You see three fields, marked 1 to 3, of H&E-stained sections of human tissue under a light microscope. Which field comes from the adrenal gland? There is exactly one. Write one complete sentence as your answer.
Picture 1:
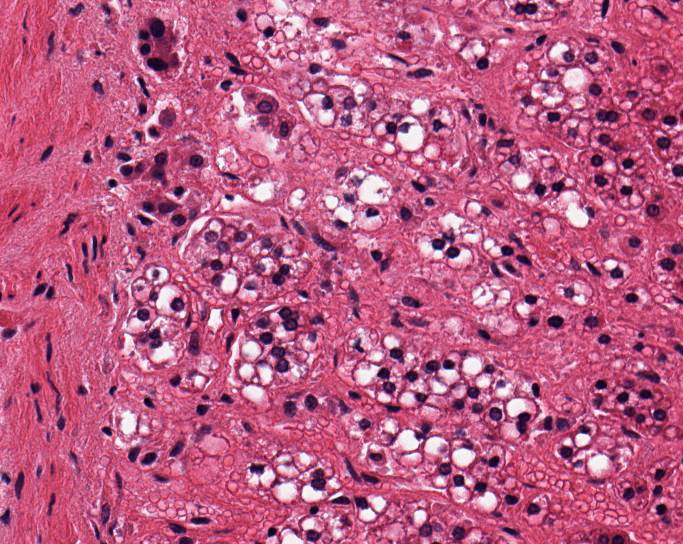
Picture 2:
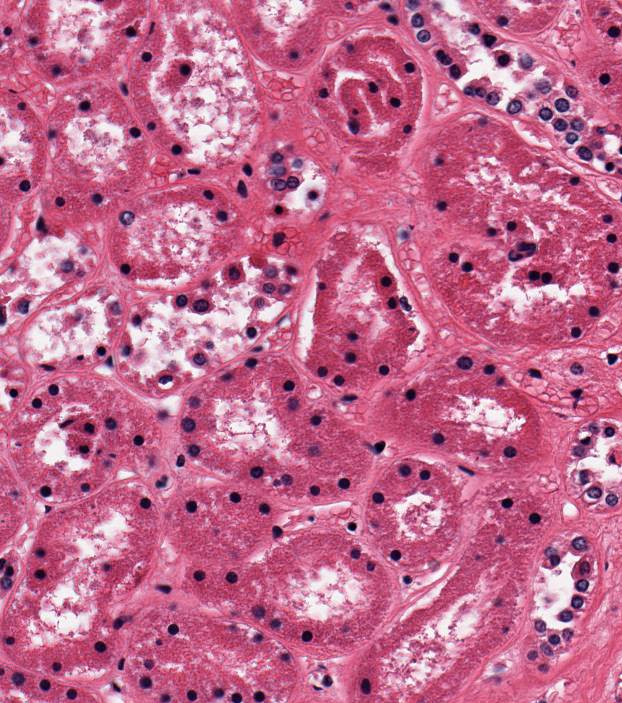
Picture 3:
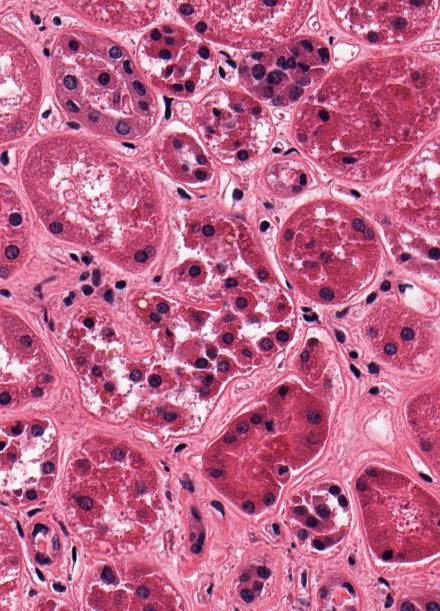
Picture 1 comes from the adrenal gland.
